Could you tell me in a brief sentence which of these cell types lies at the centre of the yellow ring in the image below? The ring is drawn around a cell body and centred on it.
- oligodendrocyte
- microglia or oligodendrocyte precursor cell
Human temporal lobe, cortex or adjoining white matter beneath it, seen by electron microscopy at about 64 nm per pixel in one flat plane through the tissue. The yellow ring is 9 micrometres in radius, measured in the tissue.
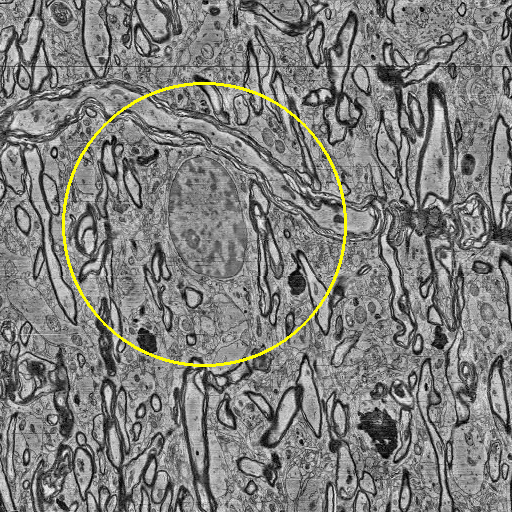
The cell centred in the ring is a microglial cell or oligodendrocyte precursor cell.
